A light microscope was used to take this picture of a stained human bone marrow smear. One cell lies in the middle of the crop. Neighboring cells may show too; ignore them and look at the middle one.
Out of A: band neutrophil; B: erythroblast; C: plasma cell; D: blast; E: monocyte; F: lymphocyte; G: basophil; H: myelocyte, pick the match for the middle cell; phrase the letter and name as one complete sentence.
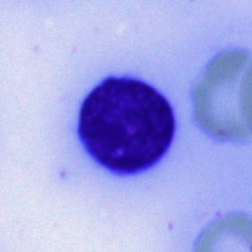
The cell at the heart of the crop is a lymphocyte, so choose option F.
